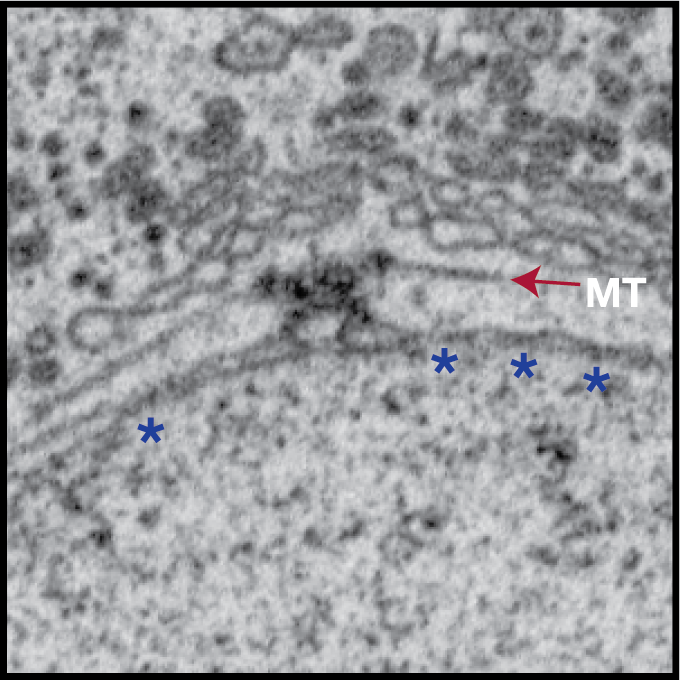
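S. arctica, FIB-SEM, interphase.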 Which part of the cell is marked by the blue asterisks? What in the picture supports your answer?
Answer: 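Nuclear pore complexes. The marked spots lie along the double membrane separating the cytoplasm from the nucleus.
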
